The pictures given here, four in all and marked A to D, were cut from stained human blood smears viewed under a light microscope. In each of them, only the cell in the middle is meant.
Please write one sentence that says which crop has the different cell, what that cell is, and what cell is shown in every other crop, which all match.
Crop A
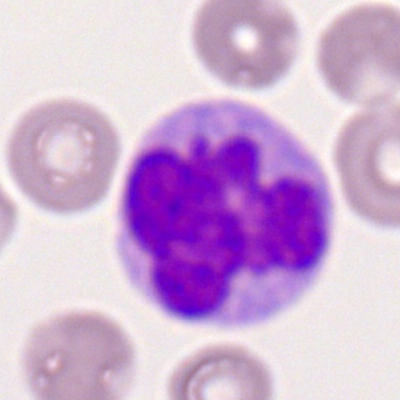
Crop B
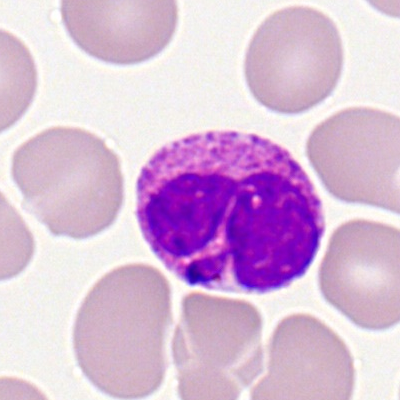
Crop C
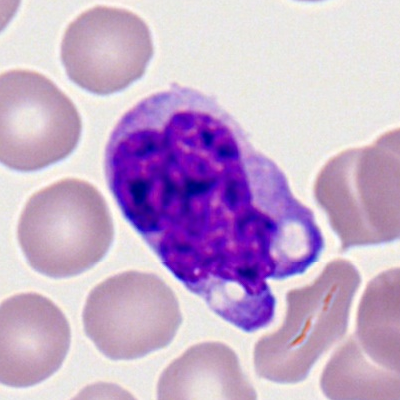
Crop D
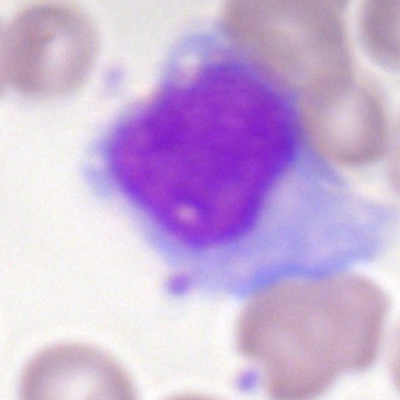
Only in crop B is there an eosinophil; all other crops show monocytes.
